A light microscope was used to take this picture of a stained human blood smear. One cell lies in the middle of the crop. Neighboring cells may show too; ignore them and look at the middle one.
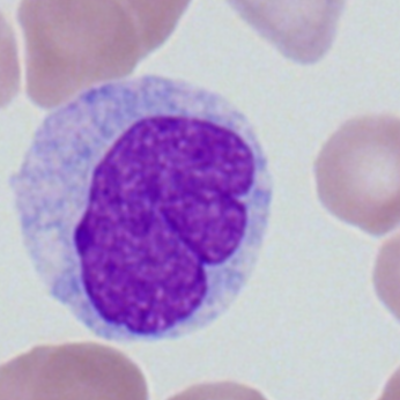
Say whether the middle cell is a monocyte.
yes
